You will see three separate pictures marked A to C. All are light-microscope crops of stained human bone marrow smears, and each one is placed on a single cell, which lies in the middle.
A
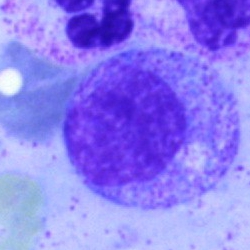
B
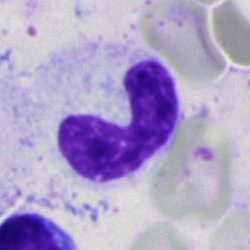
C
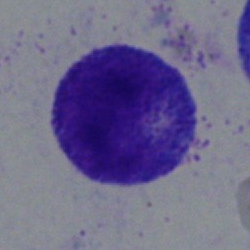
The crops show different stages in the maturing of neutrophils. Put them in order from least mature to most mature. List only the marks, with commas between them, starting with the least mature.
C, A, B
